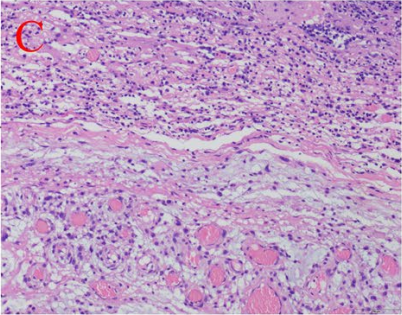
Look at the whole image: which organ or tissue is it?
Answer: proliferative fibrous tissue with lymphocyte infiltration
